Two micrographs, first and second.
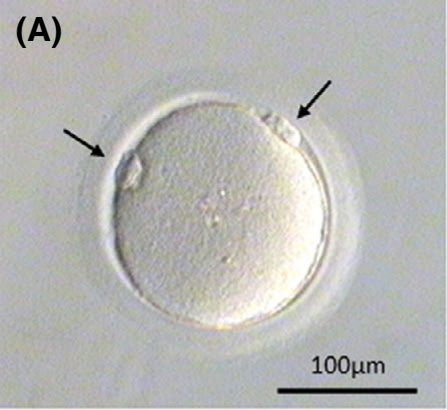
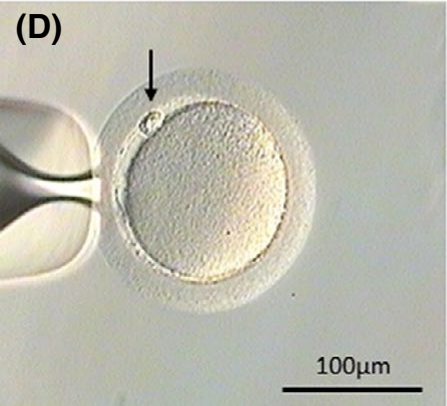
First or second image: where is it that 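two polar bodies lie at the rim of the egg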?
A: The first image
